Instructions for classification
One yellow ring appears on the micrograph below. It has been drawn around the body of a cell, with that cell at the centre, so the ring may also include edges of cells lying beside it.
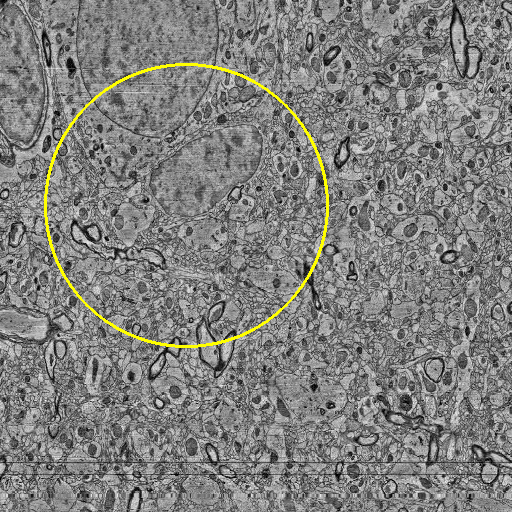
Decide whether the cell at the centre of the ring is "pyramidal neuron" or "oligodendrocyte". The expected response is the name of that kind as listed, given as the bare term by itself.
oligodendrocyte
